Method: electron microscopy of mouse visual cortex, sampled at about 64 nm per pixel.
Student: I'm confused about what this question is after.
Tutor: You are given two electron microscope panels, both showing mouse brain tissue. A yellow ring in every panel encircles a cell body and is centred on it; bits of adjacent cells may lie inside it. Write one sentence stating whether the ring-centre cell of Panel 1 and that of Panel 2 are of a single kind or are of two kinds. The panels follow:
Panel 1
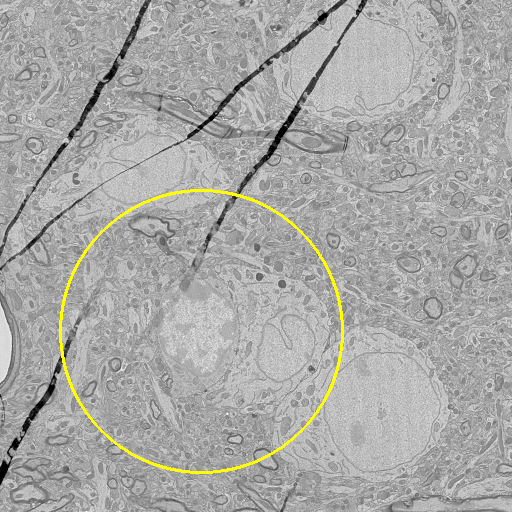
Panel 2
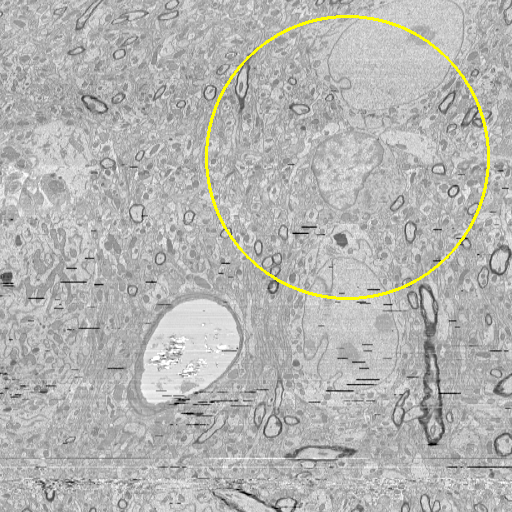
Here, the Panel 1 ring-centre cell and the Panel 2 ring-centre cell are of a single kind.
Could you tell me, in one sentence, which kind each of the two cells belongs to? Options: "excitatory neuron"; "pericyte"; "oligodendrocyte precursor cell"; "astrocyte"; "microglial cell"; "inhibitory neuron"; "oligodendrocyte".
In each picture the ringed cell is an oligodendrocyte.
